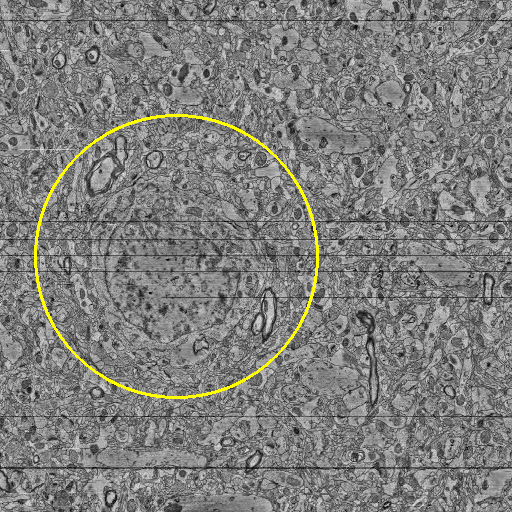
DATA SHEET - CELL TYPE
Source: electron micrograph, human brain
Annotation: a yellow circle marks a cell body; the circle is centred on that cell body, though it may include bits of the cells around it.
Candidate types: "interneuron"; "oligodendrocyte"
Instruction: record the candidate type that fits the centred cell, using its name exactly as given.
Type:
interneuron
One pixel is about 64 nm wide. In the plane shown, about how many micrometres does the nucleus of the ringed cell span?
About 9 by 7 micrometers, in this plane.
